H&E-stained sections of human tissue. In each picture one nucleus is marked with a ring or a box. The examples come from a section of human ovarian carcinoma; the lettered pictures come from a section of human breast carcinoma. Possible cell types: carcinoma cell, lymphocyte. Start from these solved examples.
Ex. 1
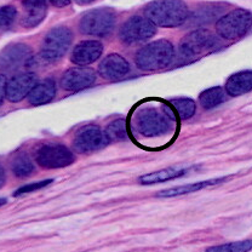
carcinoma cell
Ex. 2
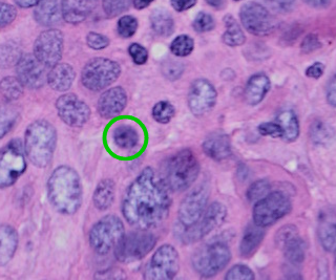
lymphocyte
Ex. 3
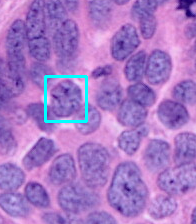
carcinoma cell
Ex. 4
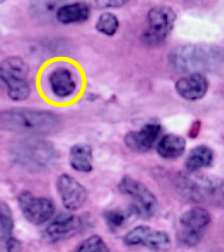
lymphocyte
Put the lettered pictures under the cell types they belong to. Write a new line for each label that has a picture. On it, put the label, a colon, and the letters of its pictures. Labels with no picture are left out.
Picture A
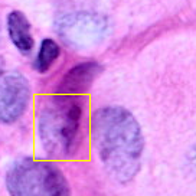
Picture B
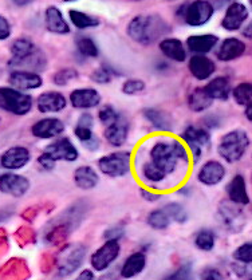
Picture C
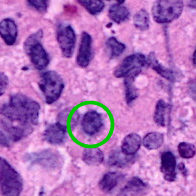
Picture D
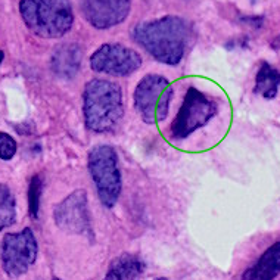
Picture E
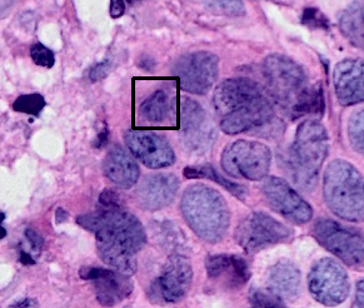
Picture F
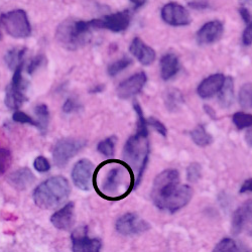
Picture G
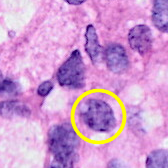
carcinoma cell: A, C, D, E, F, G
lymphocyte: B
